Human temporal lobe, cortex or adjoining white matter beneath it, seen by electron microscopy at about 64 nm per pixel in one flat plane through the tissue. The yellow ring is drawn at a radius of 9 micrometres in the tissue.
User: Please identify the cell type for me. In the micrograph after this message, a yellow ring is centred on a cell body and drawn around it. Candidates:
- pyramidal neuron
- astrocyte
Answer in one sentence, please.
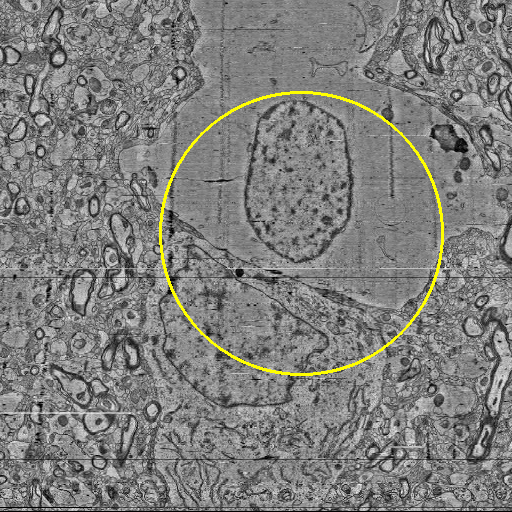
The ring is drawn around the cell body of an astrocyte.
